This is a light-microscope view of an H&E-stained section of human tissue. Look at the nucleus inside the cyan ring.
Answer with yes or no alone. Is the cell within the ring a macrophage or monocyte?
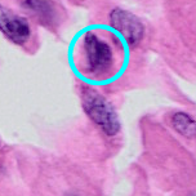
no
